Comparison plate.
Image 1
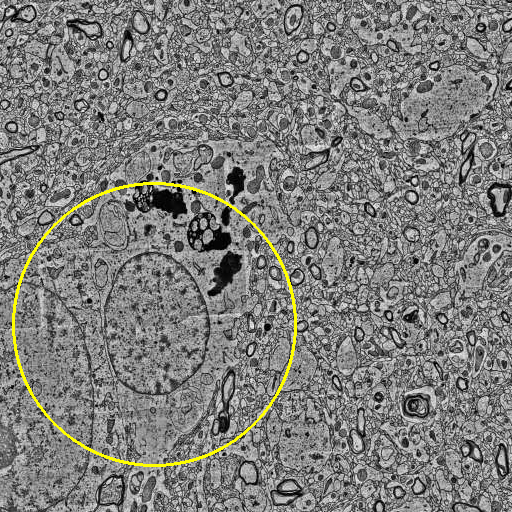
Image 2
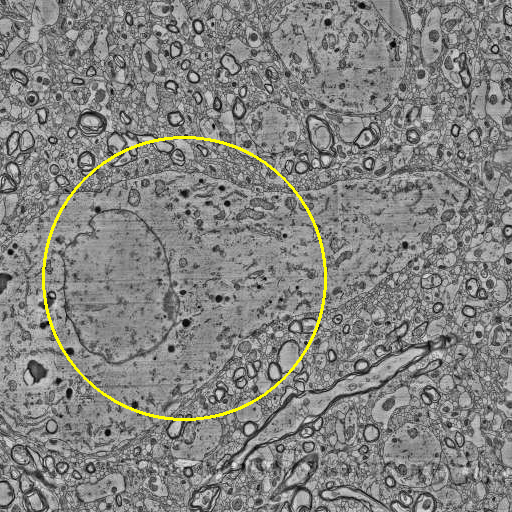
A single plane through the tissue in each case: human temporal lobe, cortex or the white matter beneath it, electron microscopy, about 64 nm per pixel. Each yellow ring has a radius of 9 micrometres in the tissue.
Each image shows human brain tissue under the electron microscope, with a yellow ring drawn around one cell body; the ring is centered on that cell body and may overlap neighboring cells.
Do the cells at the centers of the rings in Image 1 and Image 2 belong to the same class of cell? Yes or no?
no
